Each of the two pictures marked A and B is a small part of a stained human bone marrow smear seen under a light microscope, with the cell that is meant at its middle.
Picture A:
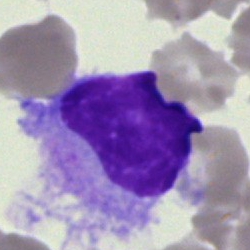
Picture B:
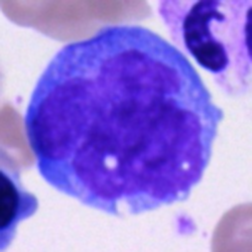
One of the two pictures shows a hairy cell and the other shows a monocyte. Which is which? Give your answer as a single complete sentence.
Picture A is of a hairy cell, and picture B is of a monocyte.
